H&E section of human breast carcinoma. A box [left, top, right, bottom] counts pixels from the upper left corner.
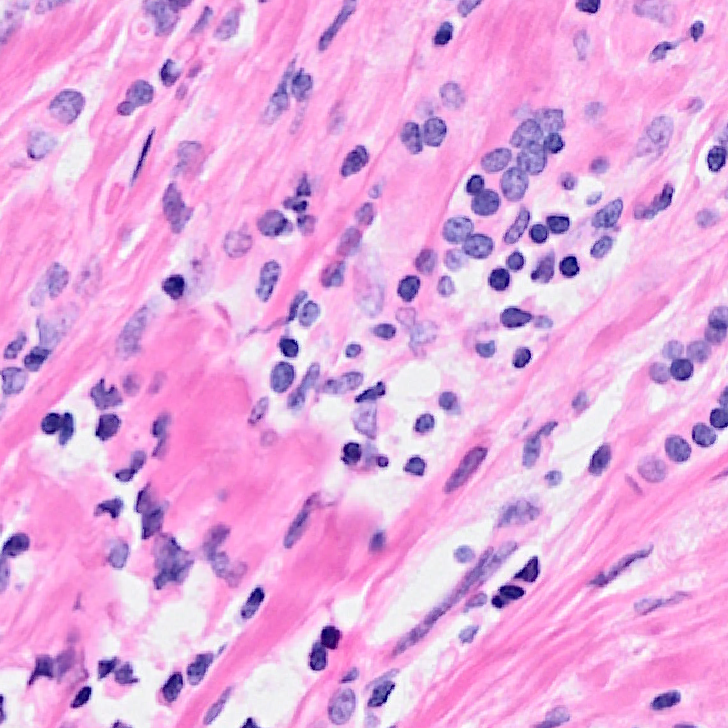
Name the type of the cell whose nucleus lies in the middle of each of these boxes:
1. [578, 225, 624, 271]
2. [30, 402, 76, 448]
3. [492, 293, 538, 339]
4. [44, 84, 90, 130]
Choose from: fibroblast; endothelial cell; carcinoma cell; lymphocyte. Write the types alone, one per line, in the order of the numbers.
lymphocyte
lymphocyte
lymphocyte
carcinoma cell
